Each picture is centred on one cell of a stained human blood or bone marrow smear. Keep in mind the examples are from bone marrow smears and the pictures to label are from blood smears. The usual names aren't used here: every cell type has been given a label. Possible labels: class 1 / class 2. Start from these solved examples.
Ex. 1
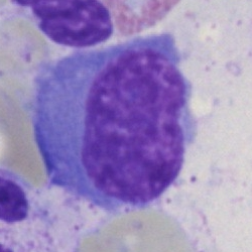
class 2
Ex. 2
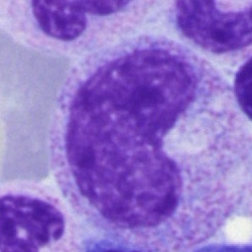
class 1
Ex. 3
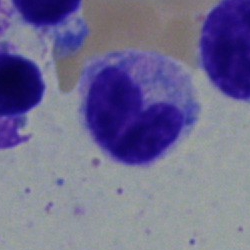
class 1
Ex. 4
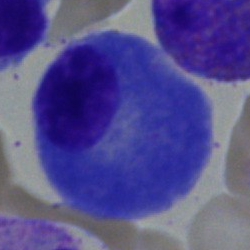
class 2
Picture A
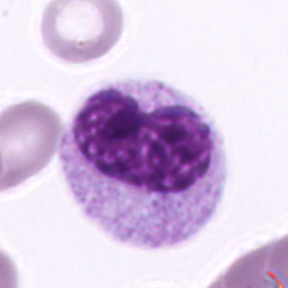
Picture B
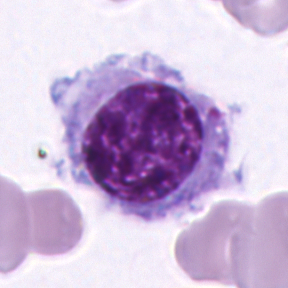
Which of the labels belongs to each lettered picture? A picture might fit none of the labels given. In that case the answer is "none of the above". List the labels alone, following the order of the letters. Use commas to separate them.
class 1, class 2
